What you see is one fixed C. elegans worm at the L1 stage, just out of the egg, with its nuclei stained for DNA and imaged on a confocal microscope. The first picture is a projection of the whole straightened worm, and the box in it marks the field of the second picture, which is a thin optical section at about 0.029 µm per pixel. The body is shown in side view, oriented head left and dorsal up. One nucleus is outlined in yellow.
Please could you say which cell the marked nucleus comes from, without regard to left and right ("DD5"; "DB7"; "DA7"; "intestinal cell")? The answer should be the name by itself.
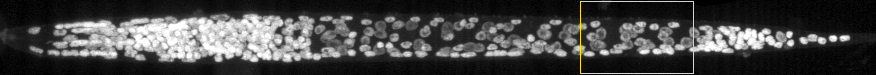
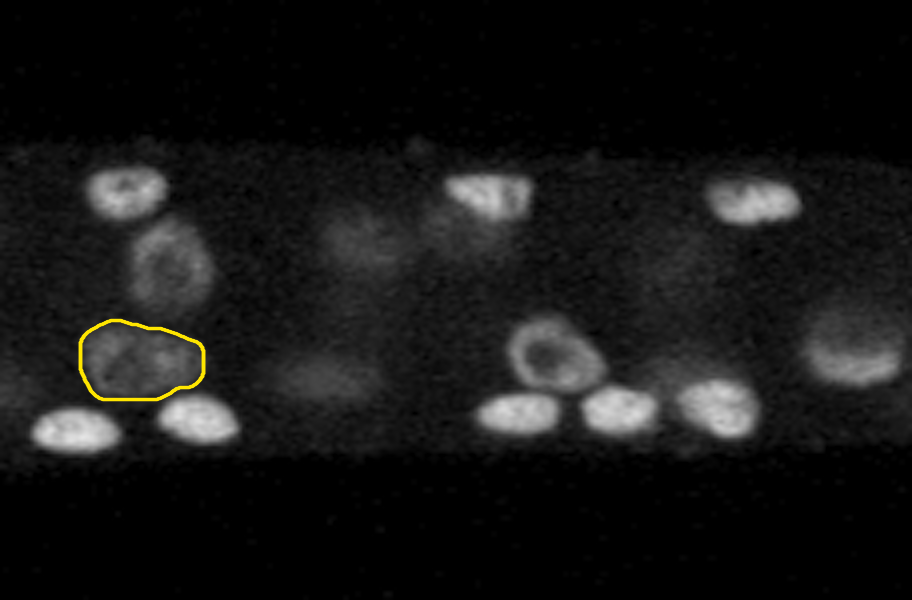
intestinal cell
